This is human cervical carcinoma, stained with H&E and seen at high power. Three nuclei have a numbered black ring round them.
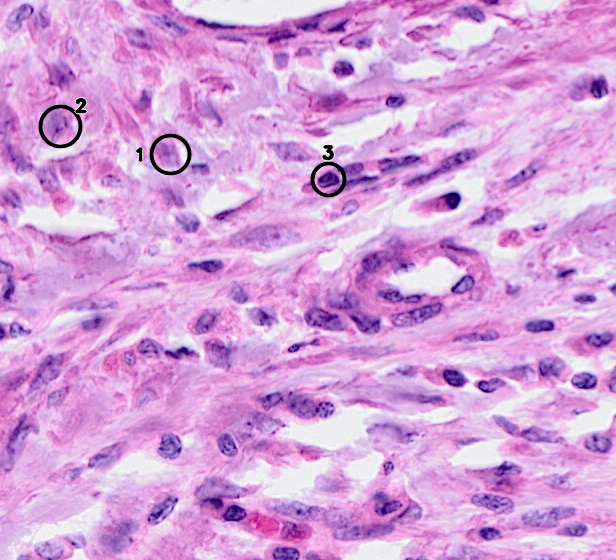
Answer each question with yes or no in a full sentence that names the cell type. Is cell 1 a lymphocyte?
No, cell number 1 is a fibroblast; it is not a lymphocyte.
